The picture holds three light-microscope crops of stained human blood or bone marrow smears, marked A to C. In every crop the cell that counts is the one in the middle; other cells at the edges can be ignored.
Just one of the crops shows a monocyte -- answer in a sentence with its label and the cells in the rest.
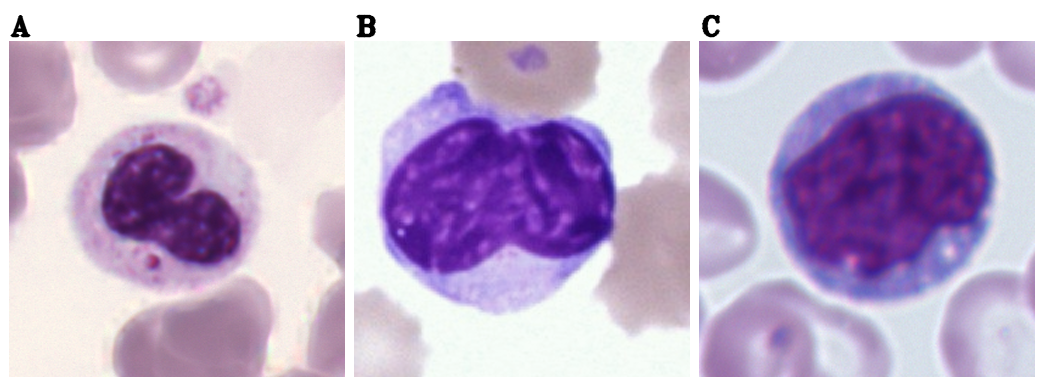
Inside crop C there is a monocyte, while crop A is a band neutrophil and crop B is a hairy cell.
